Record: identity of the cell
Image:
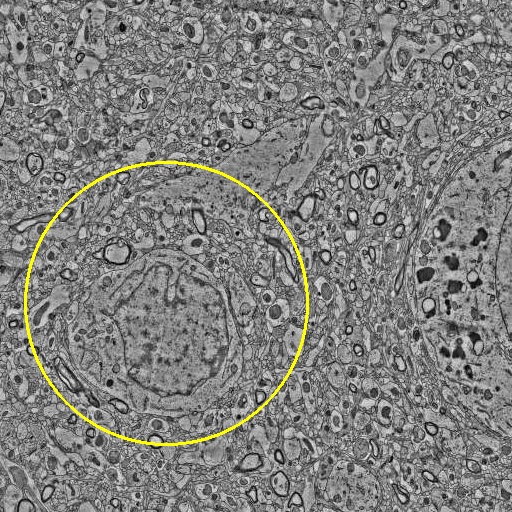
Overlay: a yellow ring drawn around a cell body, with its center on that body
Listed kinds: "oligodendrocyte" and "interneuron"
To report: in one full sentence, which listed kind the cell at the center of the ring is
In the image, the cell body at the ring's center belongs to an interneuron.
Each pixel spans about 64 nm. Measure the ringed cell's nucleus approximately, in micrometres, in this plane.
The nucleus works out at approximately 8 by 7 micrometres in this plane.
